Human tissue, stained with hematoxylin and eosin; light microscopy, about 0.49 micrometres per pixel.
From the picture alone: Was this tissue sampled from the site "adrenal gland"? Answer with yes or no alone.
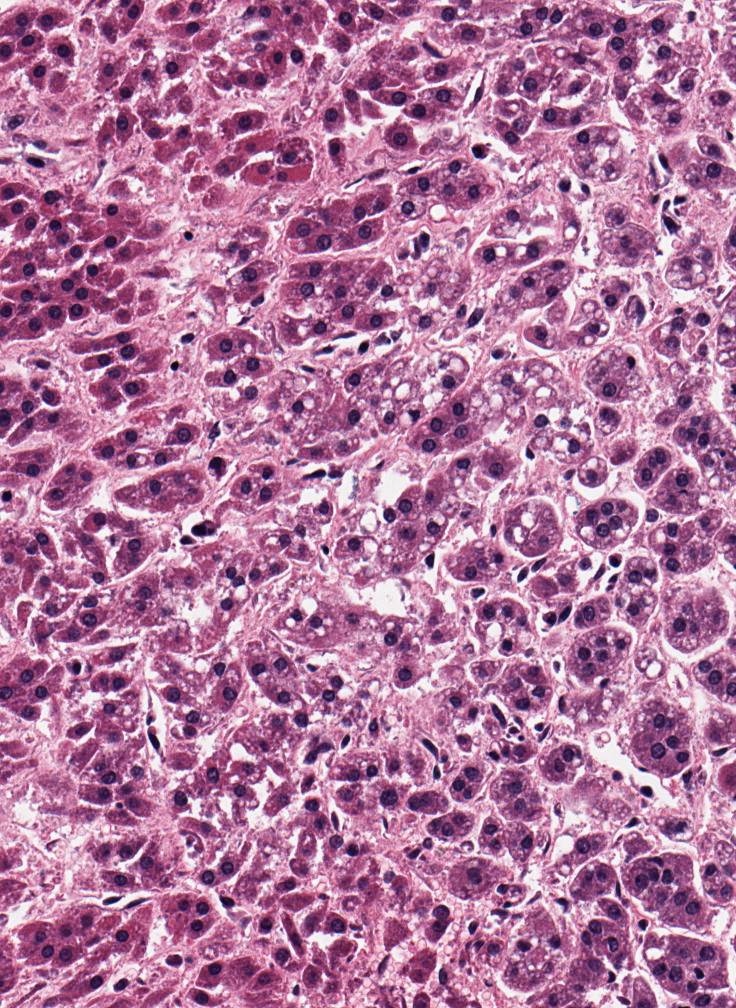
yes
